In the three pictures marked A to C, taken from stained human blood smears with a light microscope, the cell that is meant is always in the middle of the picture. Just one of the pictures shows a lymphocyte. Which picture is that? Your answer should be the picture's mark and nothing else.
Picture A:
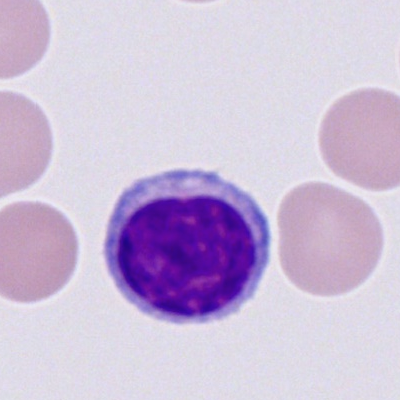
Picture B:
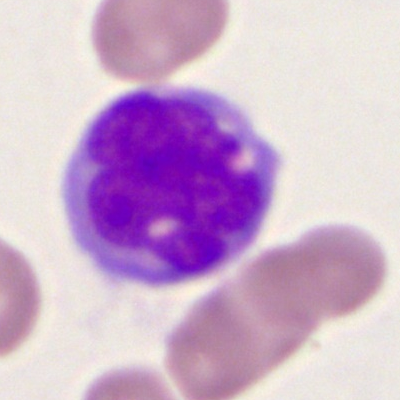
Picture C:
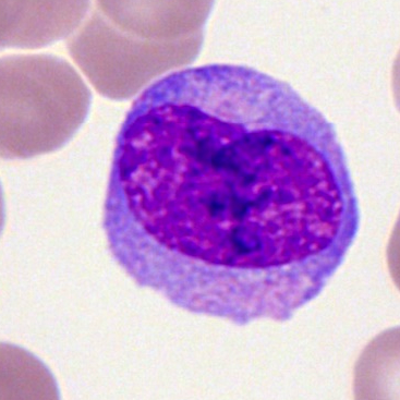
A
